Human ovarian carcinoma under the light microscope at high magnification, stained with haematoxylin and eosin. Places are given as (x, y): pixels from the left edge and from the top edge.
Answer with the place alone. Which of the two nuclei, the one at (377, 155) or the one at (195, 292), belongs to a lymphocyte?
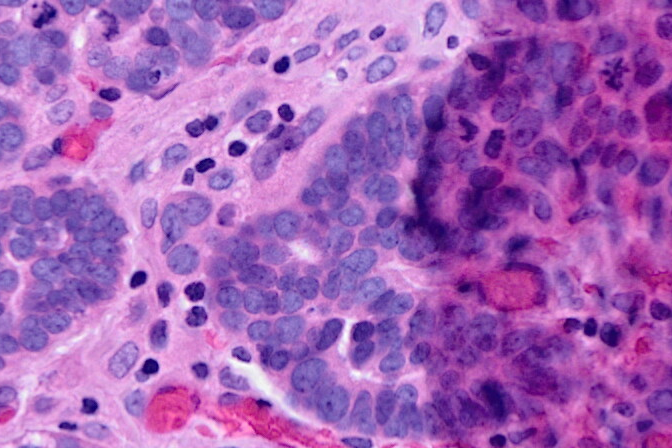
(195, 292)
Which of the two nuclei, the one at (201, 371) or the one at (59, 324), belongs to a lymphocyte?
(201, 371)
